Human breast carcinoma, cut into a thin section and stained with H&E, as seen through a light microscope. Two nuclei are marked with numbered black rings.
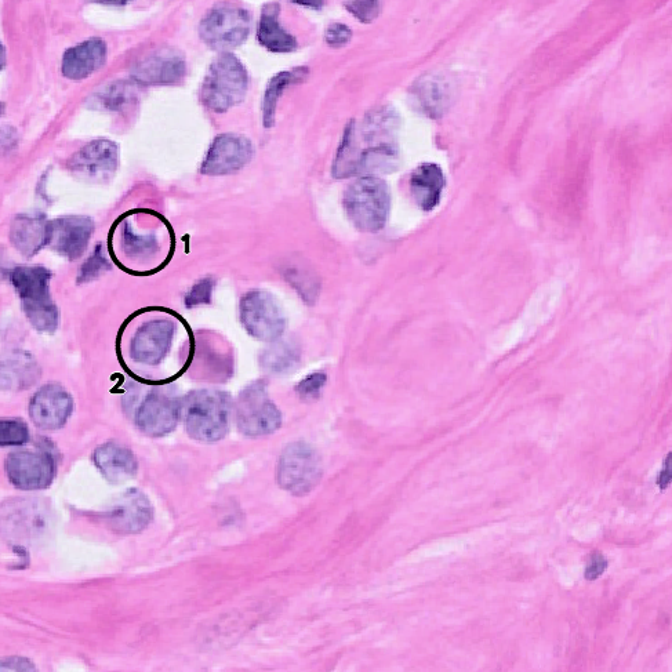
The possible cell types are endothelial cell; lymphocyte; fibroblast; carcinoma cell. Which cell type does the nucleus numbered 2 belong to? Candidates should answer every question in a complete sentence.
Identified as a carcinoma cell is the cell bearing the number 2.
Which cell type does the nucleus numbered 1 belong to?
The cell identified by the number 1 is an endothelial cell.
